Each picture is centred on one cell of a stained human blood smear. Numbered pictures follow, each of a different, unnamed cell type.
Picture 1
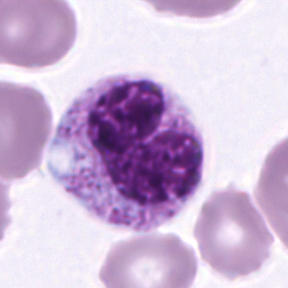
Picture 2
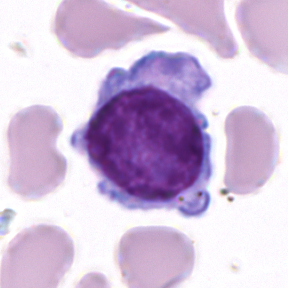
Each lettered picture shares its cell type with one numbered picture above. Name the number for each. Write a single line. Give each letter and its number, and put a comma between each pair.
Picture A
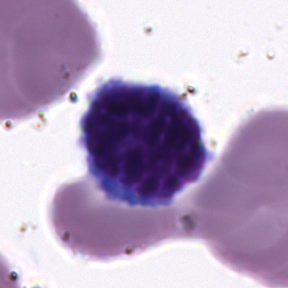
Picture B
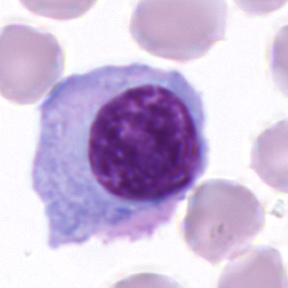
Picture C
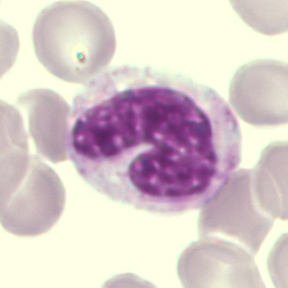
A 2, B 2, C 1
